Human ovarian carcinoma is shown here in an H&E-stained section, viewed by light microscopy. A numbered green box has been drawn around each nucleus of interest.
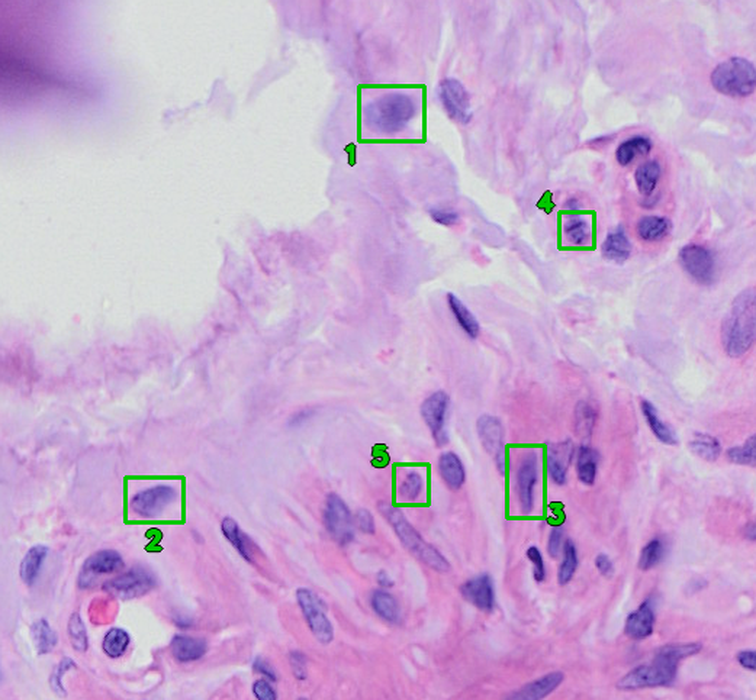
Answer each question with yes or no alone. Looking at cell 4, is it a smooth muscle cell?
no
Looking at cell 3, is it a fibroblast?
no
